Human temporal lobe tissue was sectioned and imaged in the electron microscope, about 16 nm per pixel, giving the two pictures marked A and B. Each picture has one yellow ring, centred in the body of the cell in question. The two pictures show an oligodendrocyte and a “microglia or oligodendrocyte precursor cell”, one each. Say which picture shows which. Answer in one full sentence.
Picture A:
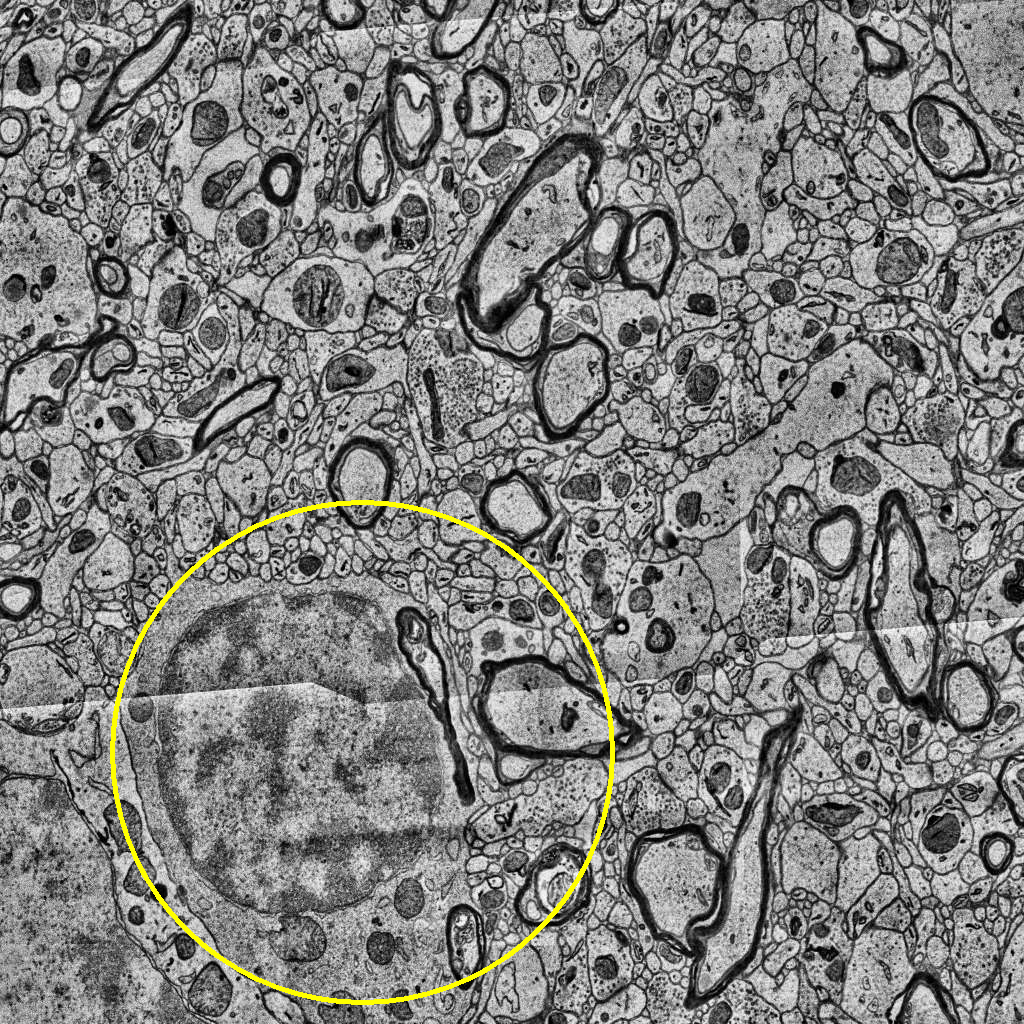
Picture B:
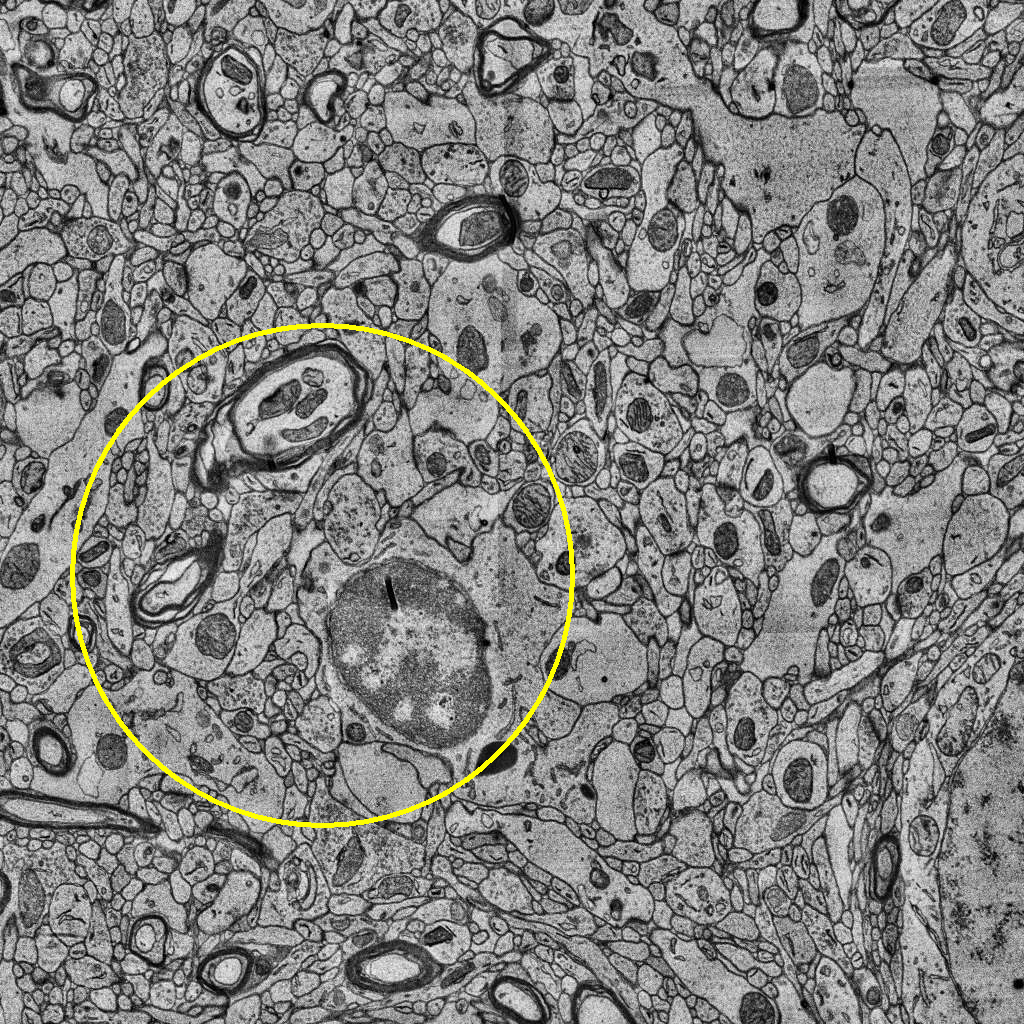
Picture A is of an oligodendrocyte, and picture B is of a “microglia or oligodendrocyte precursor cell”.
